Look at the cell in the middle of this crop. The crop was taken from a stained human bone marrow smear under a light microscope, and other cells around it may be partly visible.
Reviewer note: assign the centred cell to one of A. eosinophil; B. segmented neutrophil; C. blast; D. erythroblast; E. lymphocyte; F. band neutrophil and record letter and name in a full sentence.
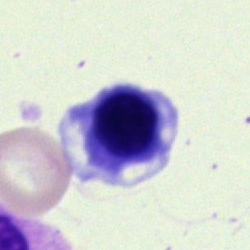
Option D holds up: the cell in the middle is an erythroblast.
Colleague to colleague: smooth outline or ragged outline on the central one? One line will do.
The cell outline lacks smoothness, being ragged or extended into projections.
